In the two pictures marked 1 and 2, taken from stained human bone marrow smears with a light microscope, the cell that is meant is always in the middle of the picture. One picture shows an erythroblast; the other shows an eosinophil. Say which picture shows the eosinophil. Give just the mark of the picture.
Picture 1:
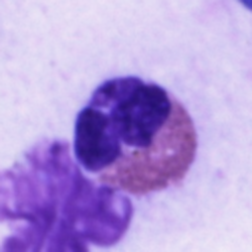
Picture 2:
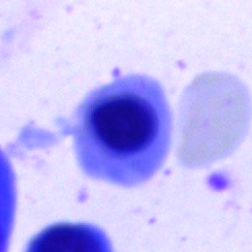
1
